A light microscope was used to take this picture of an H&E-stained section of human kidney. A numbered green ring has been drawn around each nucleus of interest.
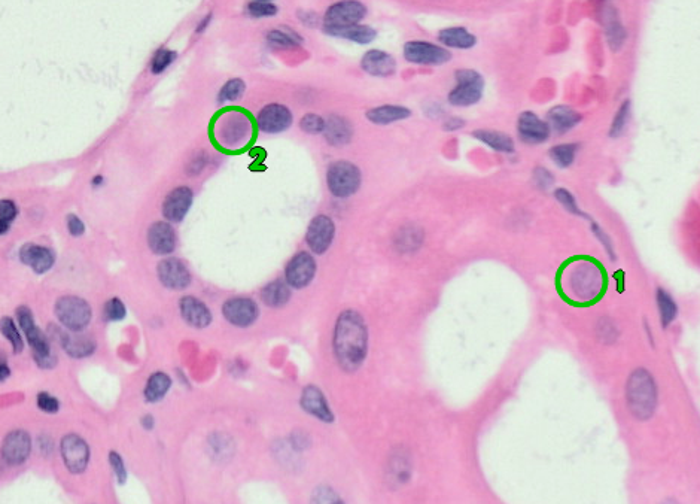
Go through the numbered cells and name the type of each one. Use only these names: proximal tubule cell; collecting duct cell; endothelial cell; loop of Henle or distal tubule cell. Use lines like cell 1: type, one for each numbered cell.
cell 1: proximal tubule cell
cell 2: collecting duct cell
